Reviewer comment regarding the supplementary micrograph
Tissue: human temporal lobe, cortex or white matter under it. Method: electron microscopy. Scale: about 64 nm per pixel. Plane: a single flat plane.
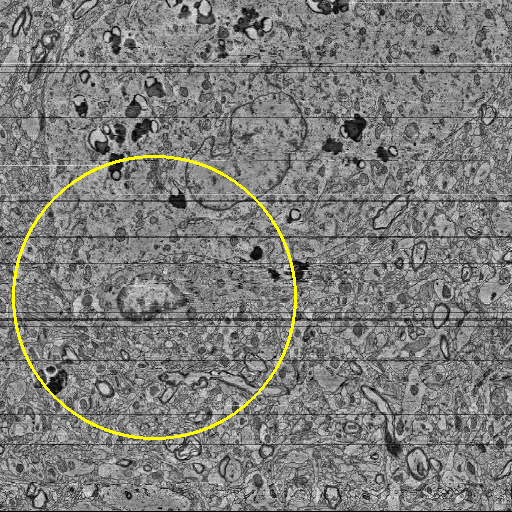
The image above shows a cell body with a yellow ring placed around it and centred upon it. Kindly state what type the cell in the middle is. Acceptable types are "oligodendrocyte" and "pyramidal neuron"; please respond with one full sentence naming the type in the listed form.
In the image above, the cell on which the yellow ring is centred is an oligodendrocyte.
